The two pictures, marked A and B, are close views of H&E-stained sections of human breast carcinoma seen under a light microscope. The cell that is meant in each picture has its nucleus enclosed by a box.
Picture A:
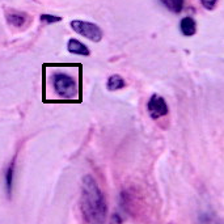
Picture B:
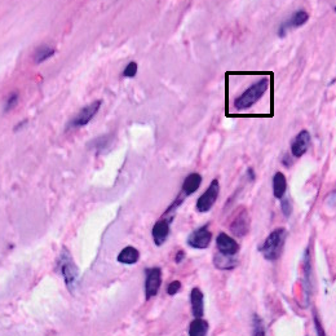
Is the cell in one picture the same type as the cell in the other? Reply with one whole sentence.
Yes, the two pictures both show mast cells.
